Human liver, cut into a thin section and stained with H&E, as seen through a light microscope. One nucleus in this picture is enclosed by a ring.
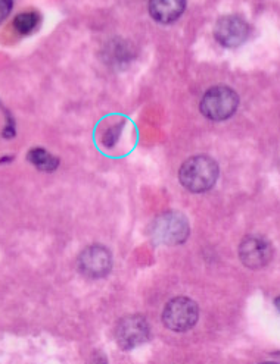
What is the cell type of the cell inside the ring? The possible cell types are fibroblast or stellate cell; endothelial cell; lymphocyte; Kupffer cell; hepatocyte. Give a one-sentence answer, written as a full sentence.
The identity of the cell inside the ring is that of an endothelial cell.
